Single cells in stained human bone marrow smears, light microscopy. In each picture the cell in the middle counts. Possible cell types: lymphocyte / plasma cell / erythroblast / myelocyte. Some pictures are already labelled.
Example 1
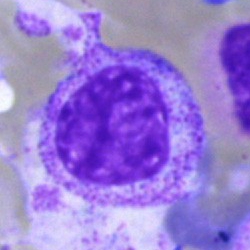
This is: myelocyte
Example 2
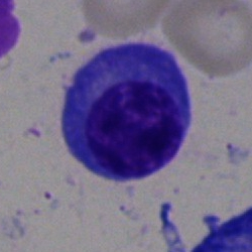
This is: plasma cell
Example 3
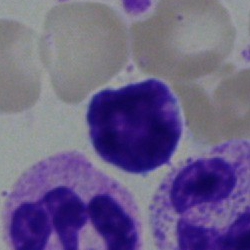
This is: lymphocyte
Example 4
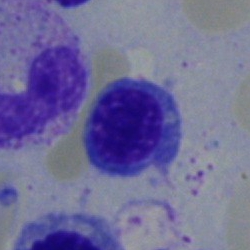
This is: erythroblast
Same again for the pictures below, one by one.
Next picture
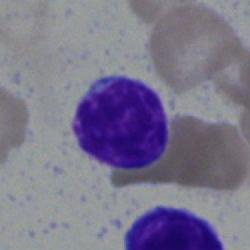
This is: lymphocyte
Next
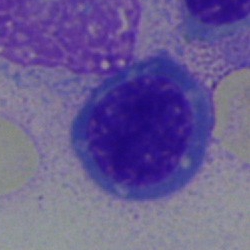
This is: erythroblast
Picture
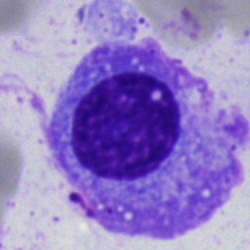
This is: plasma cell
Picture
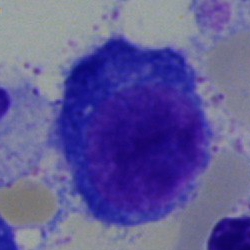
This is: plasma cell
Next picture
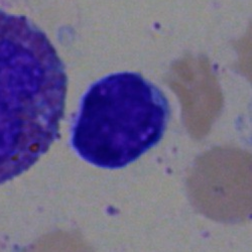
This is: lymphocyte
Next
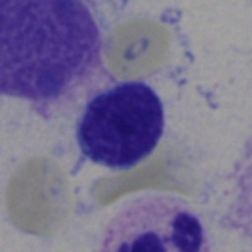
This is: lymphocyte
